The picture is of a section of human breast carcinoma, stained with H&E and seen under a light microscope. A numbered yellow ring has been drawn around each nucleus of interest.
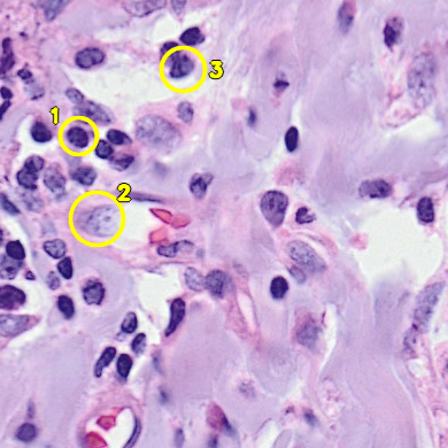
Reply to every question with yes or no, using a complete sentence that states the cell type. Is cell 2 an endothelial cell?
Yes. The cell carrying number 2 is an endothelial cell.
